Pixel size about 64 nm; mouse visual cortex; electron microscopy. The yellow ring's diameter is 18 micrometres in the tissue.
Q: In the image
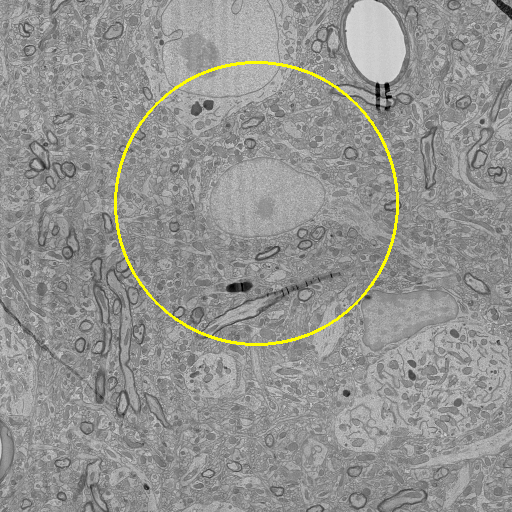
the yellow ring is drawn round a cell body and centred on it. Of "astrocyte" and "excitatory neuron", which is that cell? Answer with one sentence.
The cell centred in the ring is an astrocyte.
